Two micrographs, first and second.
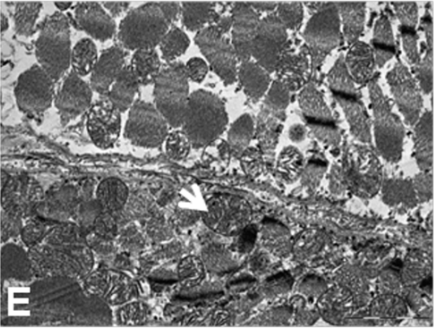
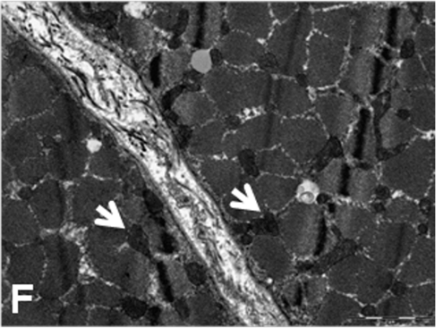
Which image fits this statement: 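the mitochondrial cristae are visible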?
the first image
